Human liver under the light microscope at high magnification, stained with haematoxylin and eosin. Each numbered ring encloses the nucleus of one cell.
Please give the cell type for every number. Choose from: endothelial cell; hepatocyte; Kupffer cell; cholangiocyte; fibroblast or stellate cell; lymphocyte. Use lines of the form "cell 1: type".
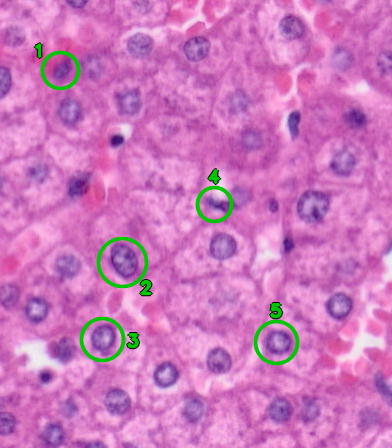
cell 1: endothelial cell
cell 2: hepatocyte
cell 3: hepatocyte
cell 4: endothelial cell
cell 5: hepatocyte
